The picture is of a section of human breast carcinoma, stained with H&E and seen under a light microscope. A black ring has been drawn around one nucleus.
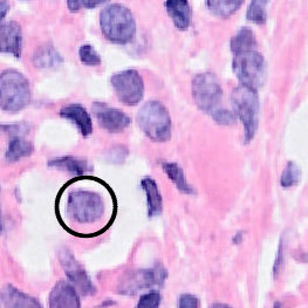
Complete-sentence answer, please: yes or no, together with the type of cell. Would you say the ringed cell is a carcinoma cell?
Yes, that the ringed cell is a carcinoma cell is correct.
